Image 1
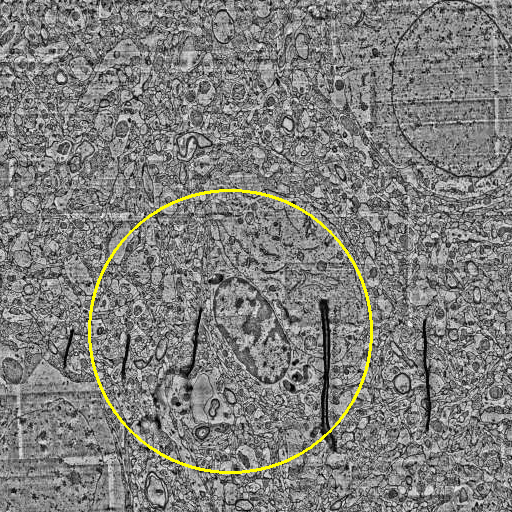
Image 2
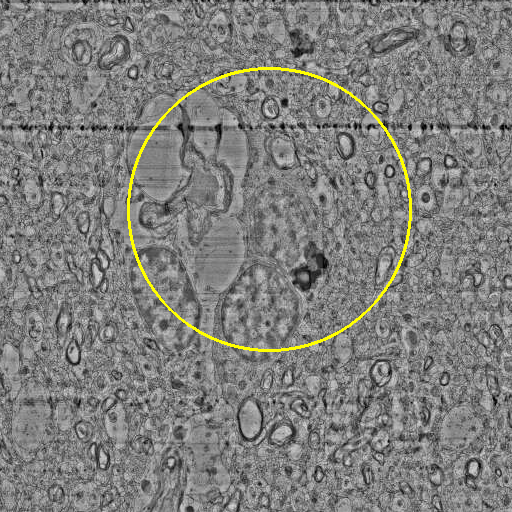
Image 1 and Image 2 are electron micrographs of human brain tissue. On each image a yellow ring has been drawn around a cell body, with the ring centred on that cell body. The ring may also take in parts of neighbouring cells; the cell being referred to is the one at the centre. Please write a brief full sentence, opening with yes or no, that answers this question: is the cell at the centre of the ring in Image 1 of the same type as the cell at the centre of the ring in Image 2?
No, the two cells are of two types.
